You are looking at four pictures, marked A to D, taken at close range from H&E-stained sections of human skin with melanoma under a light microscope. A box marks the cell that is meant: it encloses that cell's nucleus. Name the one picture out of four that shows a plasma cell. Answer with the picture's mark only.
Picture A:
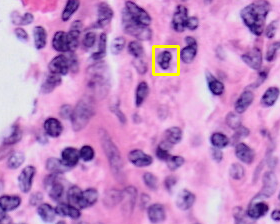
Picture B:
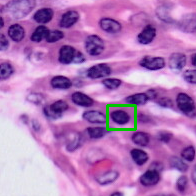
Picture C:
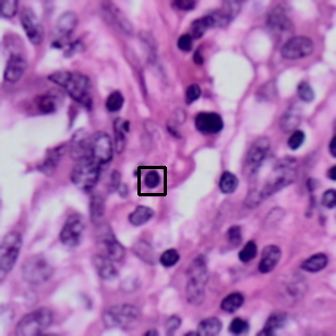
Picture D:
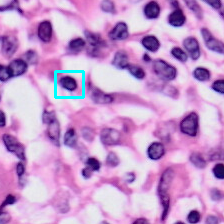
B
